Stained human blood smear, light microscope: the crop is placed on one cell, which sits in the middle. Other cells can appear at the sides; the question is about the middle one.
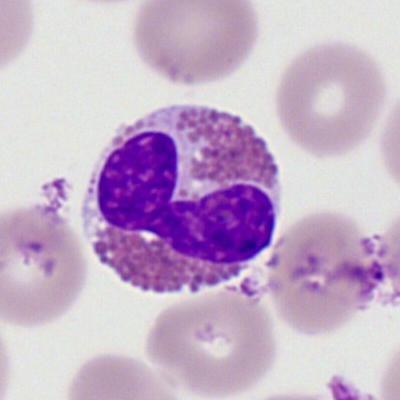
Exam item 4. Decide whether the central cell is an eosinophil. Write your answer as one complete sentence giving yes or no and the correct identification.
Yes, the cell at the very centre of the crop is an eosinophil.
